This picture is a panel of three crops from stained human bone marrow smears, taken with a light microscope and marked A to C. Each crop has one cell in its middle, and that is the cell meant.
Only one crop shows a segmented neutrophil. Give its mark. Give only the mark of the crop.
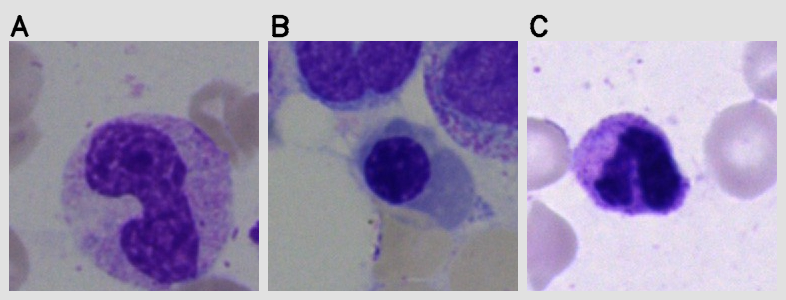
C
